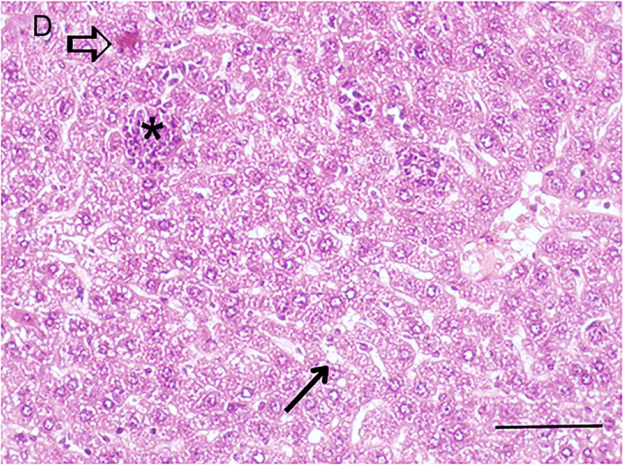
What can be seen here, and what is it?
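Liver parenchyma with plates of polygonal hepatocytes bearing round central nuclei with prominent nucleoli and pink, finely granular cytoplasm, separated by narrow sinusoids. Within the plates lies a compact cluster of small cells with dark, round nuclei, a focus of inflammation, and elsewhere a small reddish focus of damaged tissue. Some sinusoidal spaces between the cords appear widened.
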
